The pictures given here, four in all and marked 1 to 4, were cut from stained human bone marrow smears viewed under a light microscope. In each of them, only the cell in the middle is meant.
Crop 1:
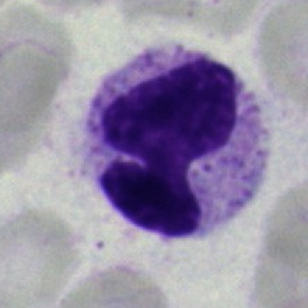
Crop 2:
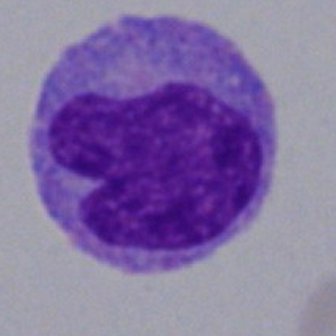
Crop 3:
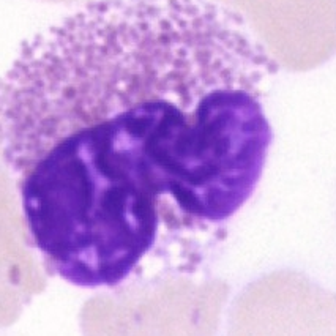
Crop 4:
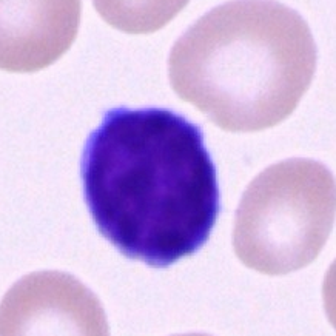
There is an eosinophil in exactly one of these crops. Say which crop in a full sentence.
The crop with an eosinophil in it is crop 3.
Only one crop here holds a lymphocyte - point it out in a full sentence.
Crop 4, and no other, is the one that shows a lymphocyte.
